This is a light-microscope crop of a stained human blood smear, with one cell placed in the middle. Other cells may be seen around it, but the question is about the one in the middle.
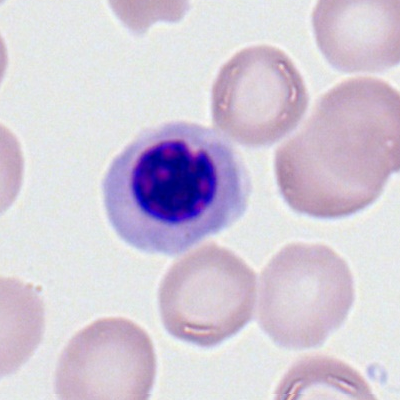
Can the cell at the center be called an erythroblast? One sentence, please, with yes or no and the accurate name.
Yes, the cell at the middle is an erythroblast.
